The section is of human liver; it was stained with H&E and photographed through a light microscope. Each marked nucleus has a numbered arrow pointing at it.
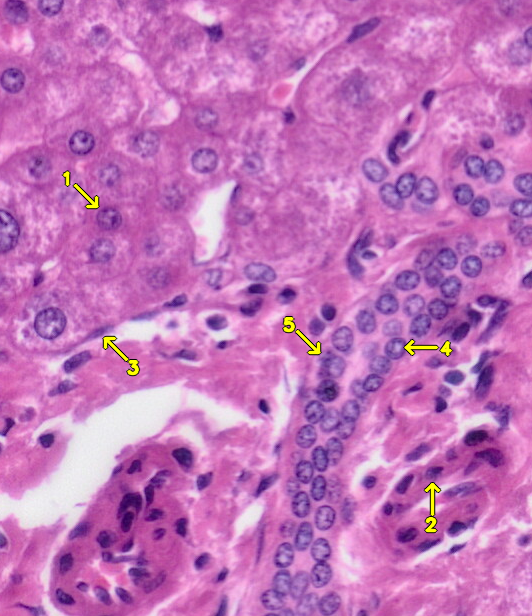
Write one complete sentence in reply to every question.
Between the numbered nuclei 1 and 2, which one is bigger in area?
Of the two, number 1 is bigger and takes up about 2.5 times the area of number 2.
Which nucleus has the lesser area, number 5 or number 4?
Number 4 is smaller, since number 5 takes up about 1.5 times as much area.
